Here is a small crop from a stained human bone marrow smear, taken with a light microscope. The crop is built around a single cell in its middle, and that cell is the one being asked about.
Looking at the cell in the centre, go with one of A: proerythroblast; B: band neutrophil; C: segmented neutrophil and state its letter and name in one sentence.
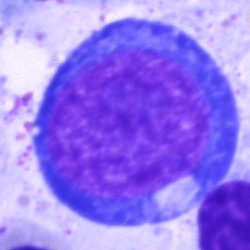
Given that the cell in the middle is a proerythroblast, option A is correct.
